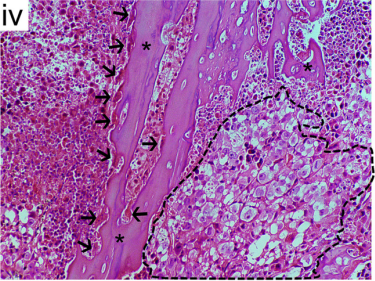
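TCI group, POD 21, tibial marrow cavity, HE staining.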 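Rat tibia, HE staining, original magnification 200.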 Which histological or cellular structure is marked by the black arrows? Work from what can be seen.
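The arrows point at the edges of a pink bone trabecula. The trabecular surface at the arrows is irregular and scalloped.
Answer: osteoclastic resorption pits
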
